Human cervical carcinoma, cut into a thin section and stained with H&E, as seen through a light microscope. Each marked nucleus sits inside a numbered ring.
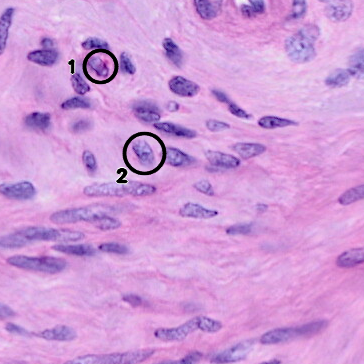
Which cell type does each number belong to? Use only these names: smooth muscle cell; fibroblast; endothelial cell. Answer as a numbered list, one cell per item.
1. endothelial cell
2. smooth muscle cell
